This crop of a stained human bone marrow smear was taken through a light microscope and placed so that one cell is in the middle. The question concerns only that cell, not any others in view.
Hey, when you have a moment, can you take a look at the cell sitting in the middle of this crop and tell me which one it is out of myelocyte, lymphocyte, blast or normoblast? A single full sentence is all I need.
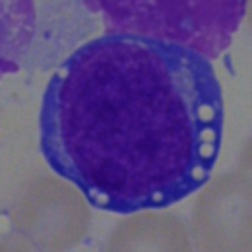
In this crop, the cell at the very middle is a blast.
